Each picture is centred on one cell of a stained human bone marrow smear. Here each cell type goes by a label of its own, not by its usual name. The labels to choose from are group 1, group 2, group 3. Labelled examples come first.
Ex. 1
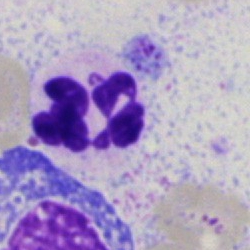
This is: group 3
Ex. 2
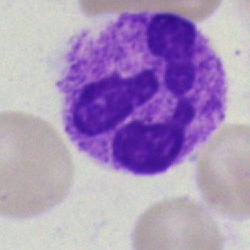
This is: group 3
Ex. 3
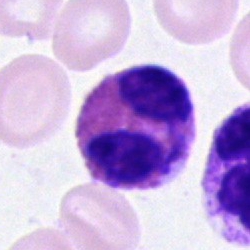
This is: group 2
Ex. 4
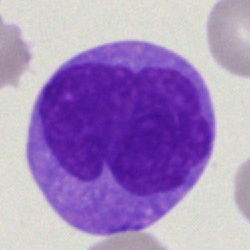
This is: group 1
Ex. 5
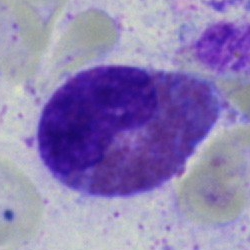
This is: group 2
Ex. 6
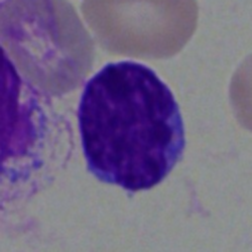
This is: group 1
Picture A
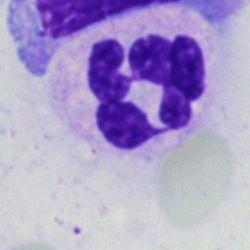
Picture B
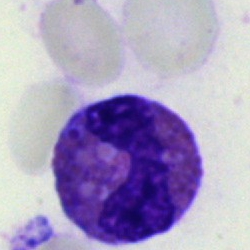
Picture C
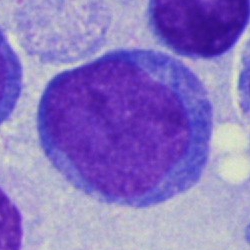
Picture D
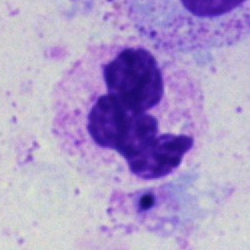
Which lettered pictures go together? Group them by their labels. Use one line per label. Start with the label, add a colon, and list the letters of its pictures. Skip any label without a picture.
group 1: C
group 2: B
group 3: A, D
